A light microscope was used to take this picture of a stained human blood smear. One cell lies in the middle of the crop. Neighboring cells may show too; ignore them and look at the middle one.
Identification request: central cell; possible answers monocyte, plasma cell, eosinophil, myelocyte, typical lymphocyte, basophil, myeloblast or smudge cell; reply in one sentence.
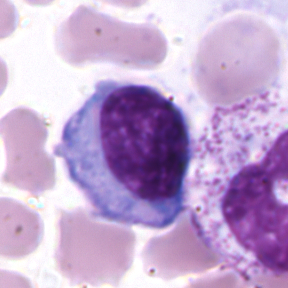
The middle of this crop is occupied by a plasma cell.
